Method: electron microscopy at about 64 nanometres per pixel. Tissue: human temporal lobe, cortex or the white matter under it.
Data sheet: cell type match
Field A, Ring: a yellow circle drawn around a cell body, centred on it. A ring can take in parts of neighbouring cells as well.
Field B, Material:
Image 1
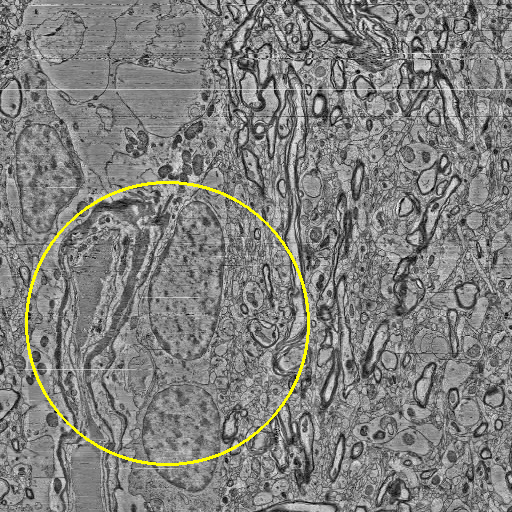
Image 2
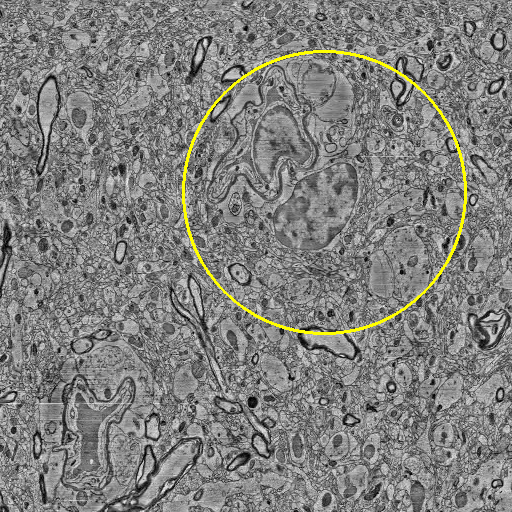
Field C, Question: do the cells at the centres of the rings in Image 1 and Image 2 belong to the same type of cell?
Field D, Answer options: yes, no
yes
